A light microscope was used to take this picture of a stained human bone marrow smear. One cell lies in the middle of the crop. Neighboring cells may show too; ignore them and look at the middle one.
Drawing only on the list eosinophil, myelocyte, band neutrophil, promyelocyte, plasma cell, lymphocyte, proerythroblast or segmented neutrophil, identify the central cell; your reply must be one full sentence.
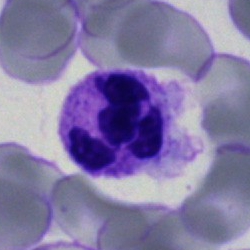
The cell in the exact centre of the crop is a segmented neutrophil.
